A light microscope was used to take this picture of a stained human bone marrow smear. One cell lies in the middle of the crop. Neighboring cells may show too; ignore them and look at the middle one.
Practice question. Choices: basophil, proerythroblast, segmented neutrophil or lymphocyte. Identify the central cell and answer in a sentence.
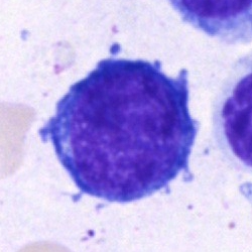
What sits at the centre of this crop is a proerythroblast.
